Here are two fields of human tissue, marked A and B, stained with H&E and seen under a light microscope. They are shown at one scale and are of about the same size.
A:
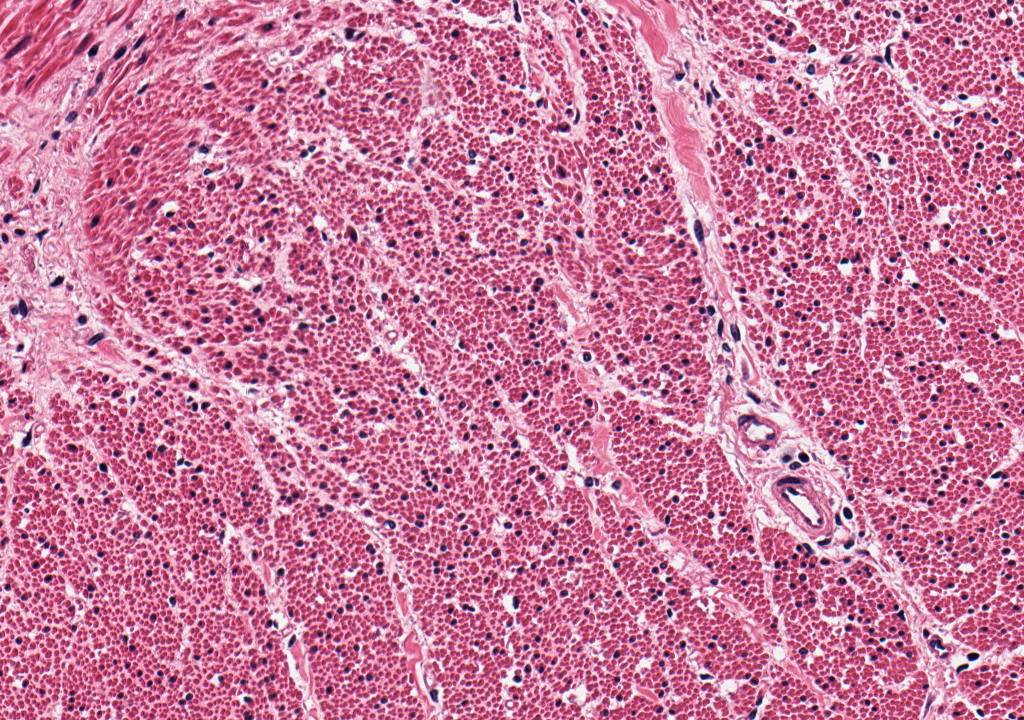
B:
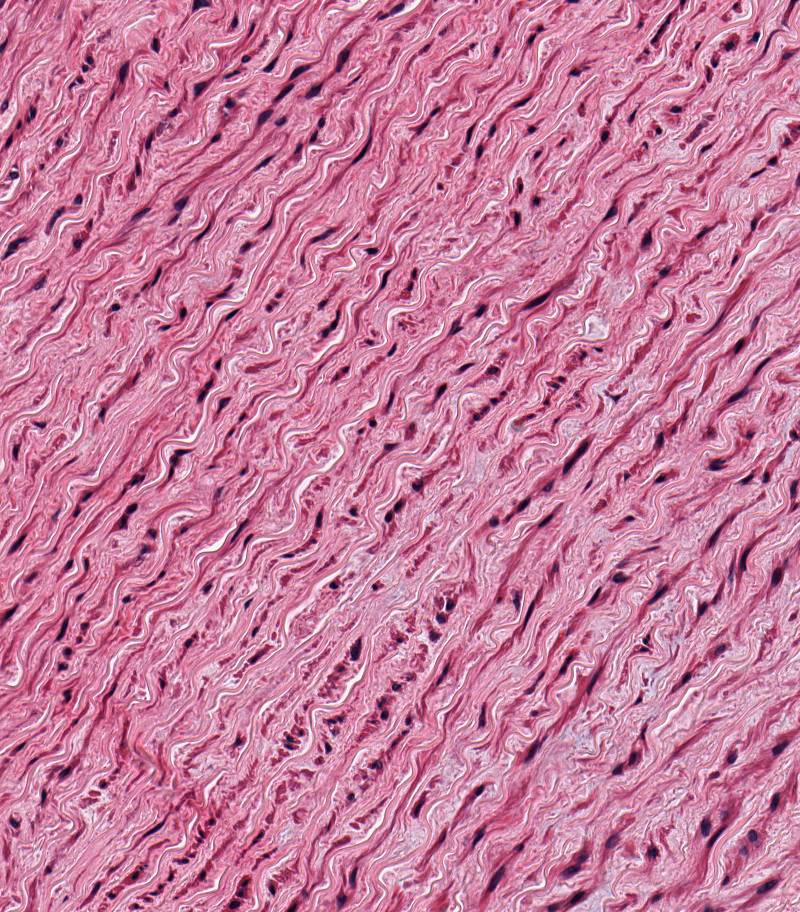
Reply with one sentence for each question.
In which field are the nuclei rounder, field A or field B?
The nuclei are rounder in field A.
